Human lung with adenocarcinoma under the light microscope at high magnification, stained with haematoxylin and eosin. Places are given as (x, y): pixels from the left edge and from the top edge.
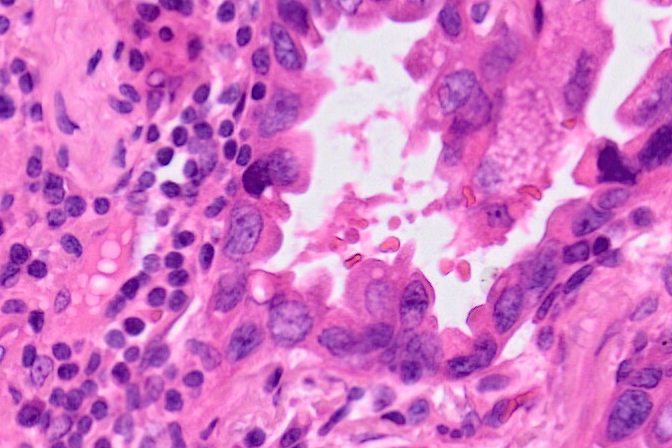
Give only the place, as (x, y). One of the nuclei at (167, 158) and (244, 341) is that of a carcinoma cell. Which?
(244, 341)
